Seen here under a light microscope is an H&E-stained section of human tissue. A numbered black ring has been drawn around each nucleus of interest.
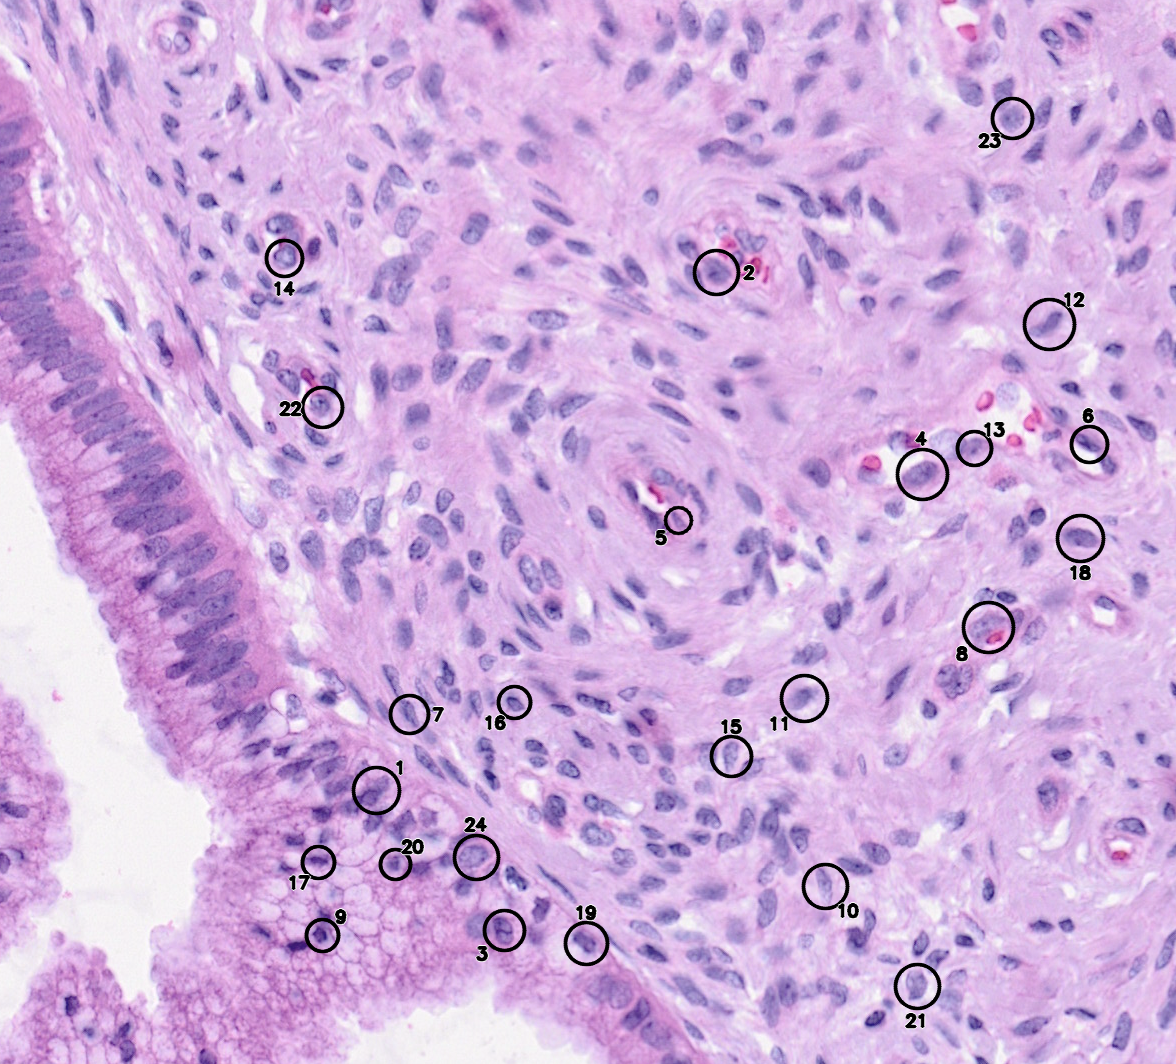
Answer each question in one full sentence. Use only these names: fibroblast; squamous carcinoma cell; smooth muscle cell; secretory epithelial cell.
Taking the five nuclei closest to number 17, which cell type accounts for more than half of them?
Secretory epithelial cells make up most of the five nuclei closest to number 17.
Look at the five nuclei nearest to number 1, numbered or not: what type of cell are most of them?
Of the five nuclei nearest to number 1, most belong to secretory epithelial cells.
